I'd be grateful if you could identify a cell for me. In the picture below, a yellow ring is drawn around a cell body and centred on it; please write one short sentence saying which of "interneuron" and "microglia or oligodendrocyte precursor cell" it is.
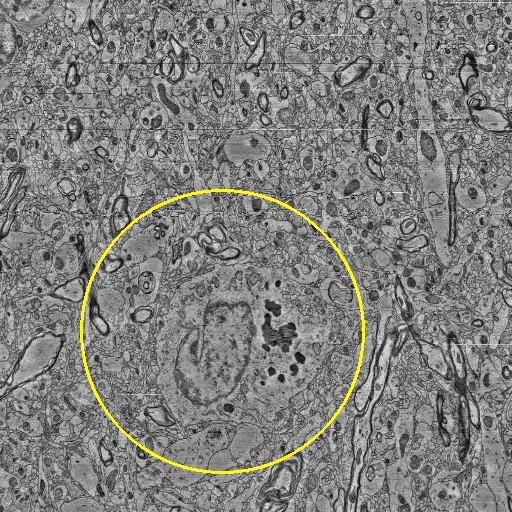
The cell under the ring's centre is an interneuron.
